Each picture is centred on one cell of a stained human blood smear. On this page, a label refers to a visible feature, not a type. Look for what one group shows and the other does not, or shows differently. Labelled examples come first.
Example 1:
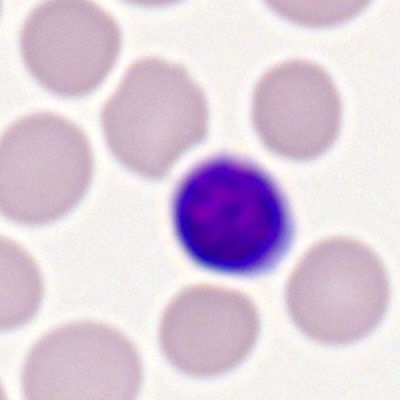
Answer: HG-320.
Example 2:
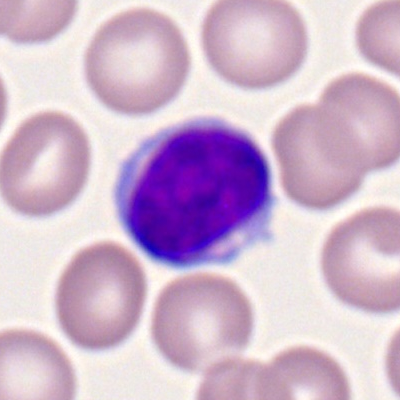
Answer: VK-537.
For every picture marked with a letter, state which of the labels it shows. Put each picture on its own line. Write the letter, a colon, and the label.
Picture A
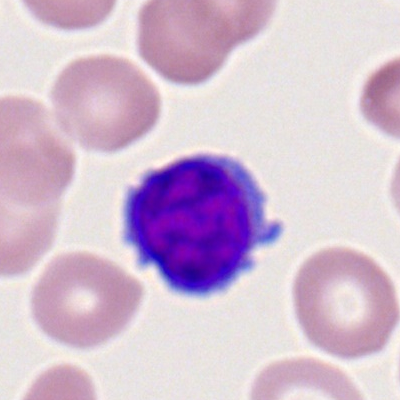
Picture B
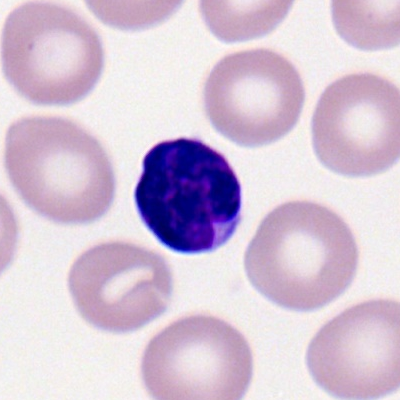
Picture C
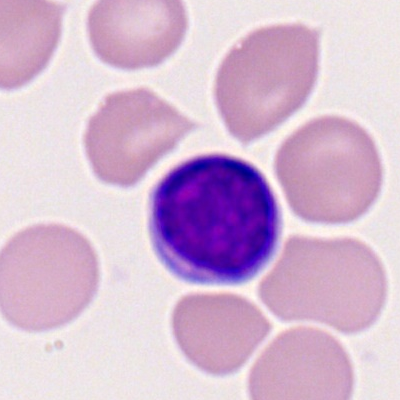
A: VK-537.
B: HG-320.
C: HG-320.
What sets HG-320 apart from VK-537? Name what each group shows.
Seen in HG-320: smooth outline; seen in VK-537: ragged outline or projections.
